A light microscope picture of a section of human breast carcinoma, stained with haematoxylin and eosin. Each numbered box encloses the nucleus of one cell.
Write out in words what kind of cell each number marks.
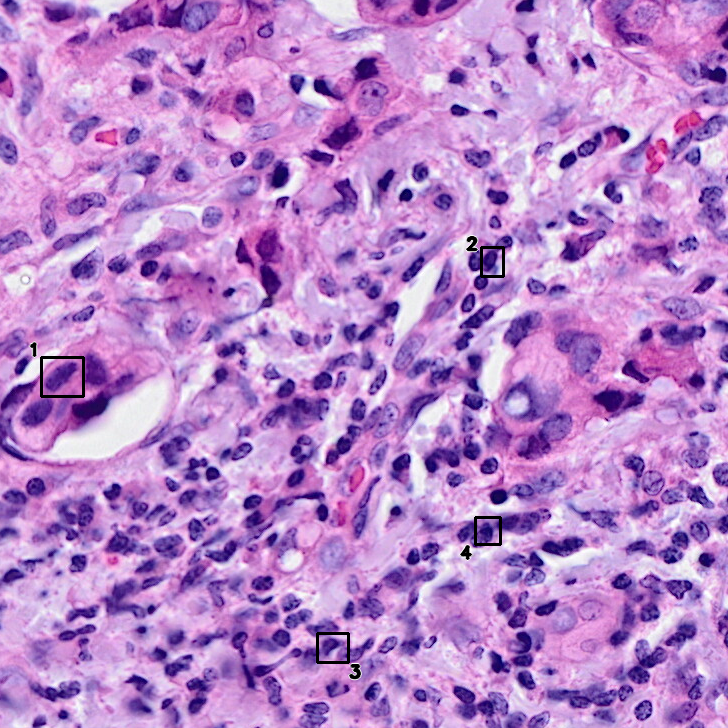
Cell 1 is a carcinoma cell, cell 2 is a lymphocyte, cell 3 is a lymphocyte and cell 4 is a lymphocyte.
